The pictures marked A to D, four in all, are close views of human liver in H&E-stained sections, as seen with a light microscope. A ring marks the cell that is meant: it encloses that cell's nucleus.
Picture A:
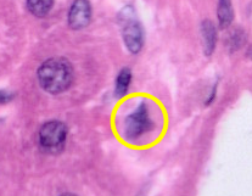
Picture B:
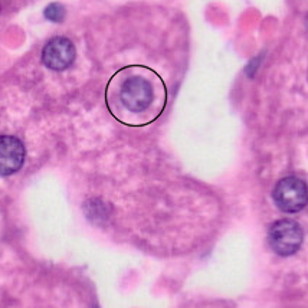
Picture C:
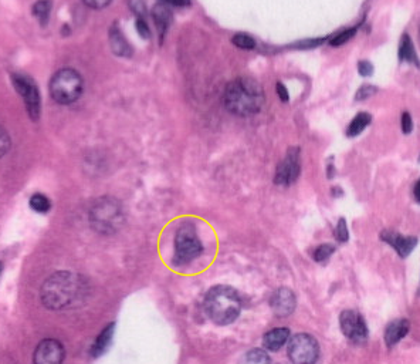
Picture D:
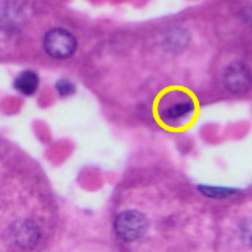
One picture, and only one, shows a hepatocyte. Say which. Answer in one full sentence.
Picture B shows the hepatocyte.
